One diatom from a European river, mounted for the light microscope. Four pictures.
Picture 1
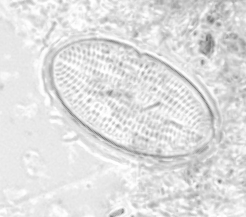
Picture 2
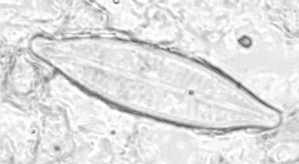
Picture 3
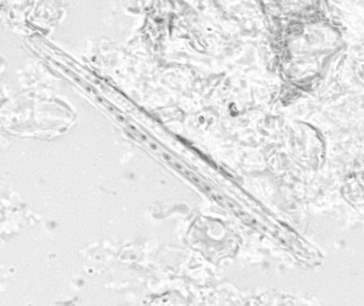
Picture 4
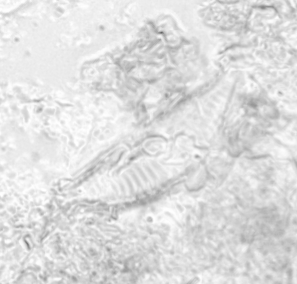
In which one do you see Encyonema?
In picture 4.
